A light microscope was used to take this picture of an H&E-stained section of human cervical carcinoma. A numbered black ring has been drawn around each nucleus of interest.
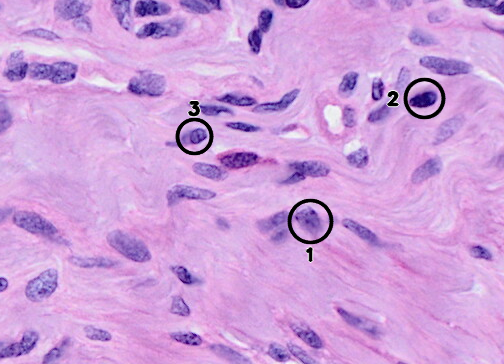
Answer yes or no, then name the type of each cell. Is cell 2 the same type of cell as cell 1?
No, cell 2 is categorized as a lymphocyte, while cell 1 is categorized as a fibroblast.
